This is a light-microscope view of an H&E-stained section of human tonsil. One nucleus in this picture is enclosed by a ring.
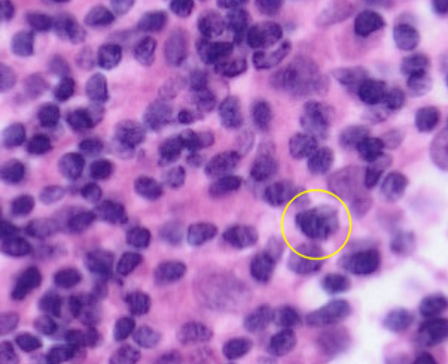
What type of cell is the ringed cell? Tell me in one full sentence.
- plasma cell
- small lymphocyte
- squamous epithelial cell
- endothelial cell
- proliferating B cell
Right, so the ringed cell is a proliferating B cell, to answer that.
